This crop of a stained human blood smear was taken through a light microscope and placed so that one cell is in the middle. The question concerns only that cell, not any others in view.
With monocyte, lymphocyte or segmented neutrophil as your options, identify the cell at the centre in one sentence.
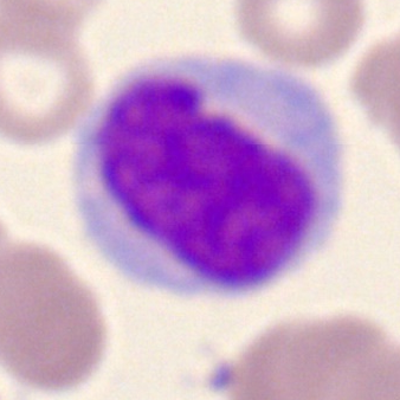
Within this crop, a monocyte occupies the central position.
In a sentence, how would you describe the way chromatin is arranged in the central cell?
Here the nuclear chromatin is coarsely clumped.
